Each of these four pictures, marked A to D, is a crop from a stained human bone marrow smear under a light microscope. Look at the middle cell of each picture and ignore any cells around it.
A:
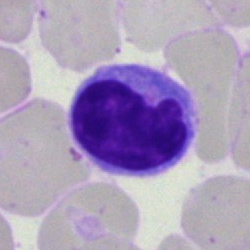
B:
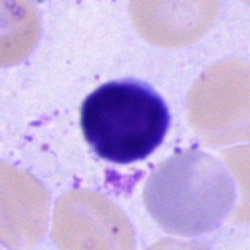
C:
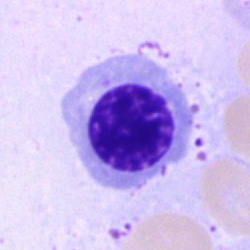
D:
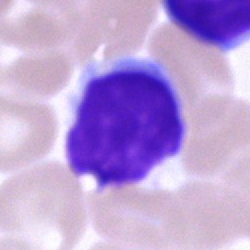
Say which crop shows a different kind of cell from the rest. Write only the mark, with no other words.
C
